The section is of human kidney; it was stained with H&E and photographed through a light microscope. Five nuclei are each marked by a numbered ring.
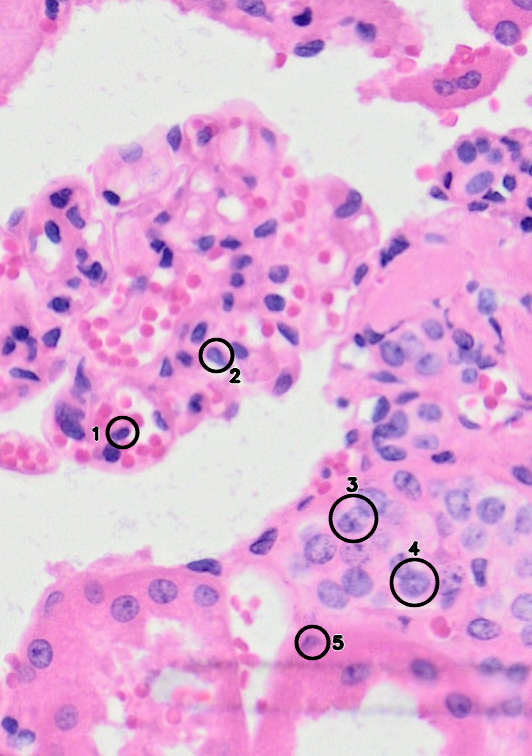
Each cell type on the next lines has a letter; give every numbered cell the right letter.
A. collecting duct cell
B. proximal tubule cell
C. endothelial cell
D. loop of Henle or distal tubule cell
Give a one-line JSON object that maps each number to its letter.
{"1": "C", "2": "C", "3": "A", "4": "A", "5": "B"}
